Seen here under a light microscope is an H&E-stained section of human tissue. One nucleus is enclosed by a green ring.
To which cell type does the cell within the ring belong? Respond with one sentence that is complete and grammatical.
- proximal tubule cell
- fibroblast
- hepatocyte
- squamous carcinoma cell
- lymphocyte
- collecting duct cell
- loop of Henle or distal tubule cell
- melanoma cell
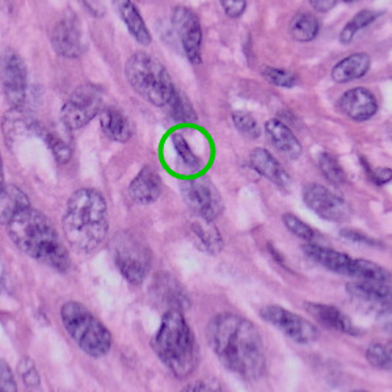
Histopathologically, the cell within the ring is a melanoma cell.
